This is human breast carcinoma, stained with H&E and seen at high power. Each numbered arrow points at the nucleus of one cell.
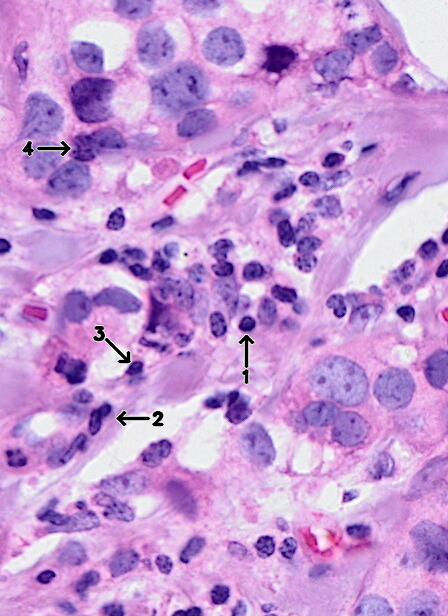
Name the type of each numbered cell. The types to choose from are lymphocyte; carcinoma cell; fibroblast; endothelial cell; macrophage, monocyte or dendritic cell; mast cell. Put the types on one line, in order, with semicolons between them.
lymphocyte; lymphocyte; lymphocyte; carcinoma cell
